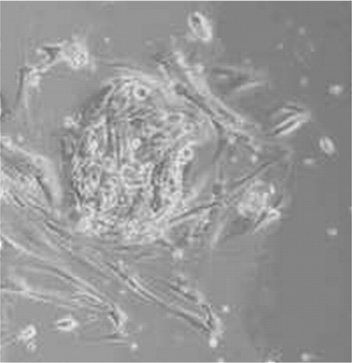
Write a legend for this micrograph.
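At the centre sits a compact, roughly oval colony of tightly packed small cells with rounded to polygonal outlines. Individual cell borders are faintly visible within it, giving a cobblestone-like texture. Around this cluster lie flattened, elongated spindle-shaped cells whose long thin processes stretch across the field in several directions. A few small, rounded, phase-bright bodies are scattered over the background. The dense central colony contrasts with the looser, spread-out spindle cells at the periphery.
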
